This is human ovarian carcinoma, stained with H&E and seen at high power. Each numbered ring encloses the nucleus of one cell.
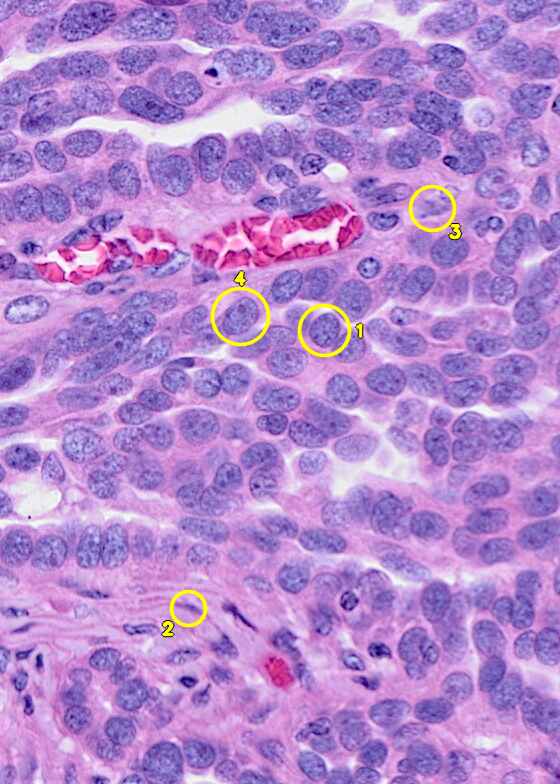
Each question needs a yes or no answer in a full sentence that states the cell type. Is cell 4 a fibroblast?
No, at number 4 sits a carcinoma cell, not a fibroblast.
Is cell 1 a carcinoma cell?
Yes, the cell referred to as number 1 is a carcinoma cell.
